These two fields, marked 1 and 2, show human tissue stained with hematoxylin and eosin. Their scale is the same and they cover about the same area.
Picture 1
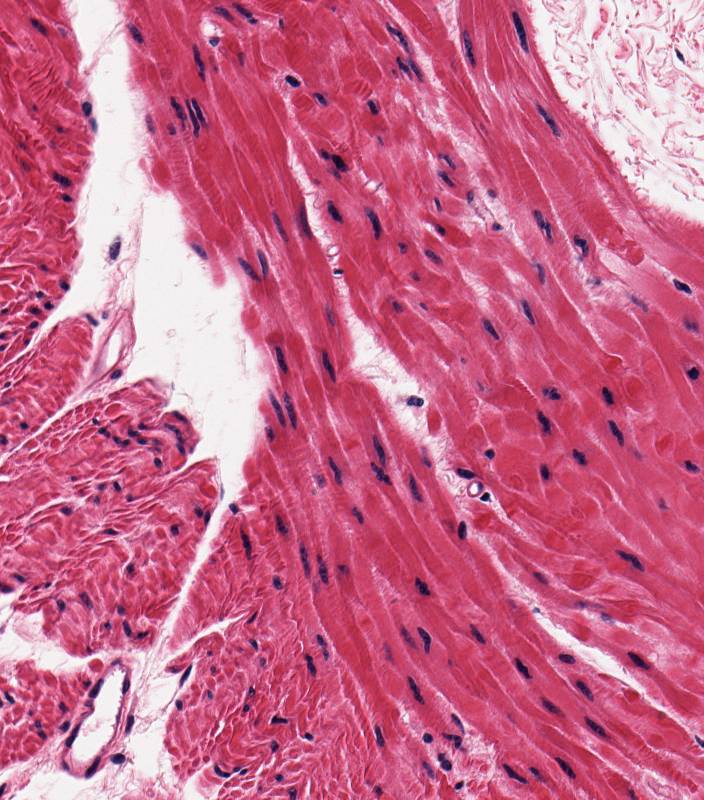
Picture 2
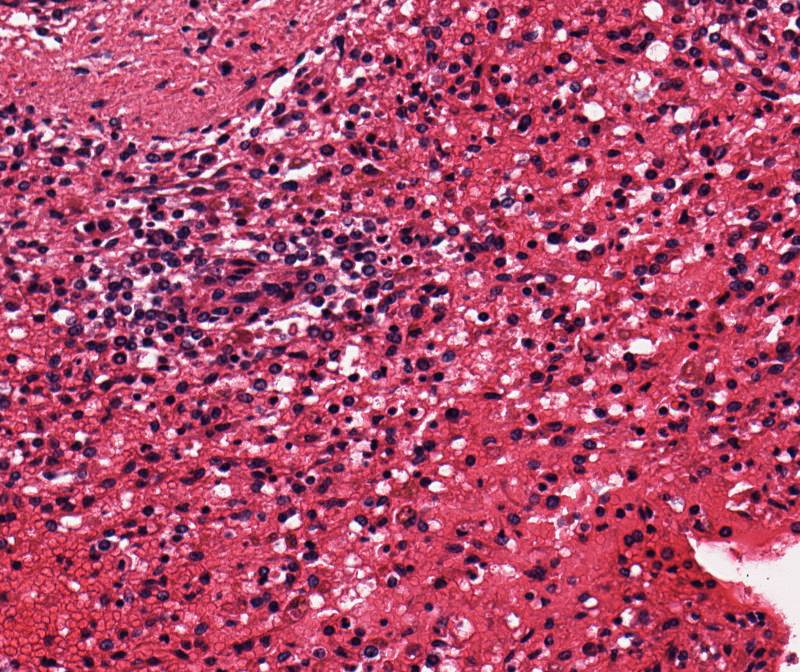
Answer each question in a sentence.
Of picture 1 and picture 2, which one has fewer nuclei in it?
Fewer nuclei lie in picture 1 than in picture 2.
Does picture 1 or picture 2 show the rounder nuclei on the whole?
The nuclei are rounder in picture 2.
